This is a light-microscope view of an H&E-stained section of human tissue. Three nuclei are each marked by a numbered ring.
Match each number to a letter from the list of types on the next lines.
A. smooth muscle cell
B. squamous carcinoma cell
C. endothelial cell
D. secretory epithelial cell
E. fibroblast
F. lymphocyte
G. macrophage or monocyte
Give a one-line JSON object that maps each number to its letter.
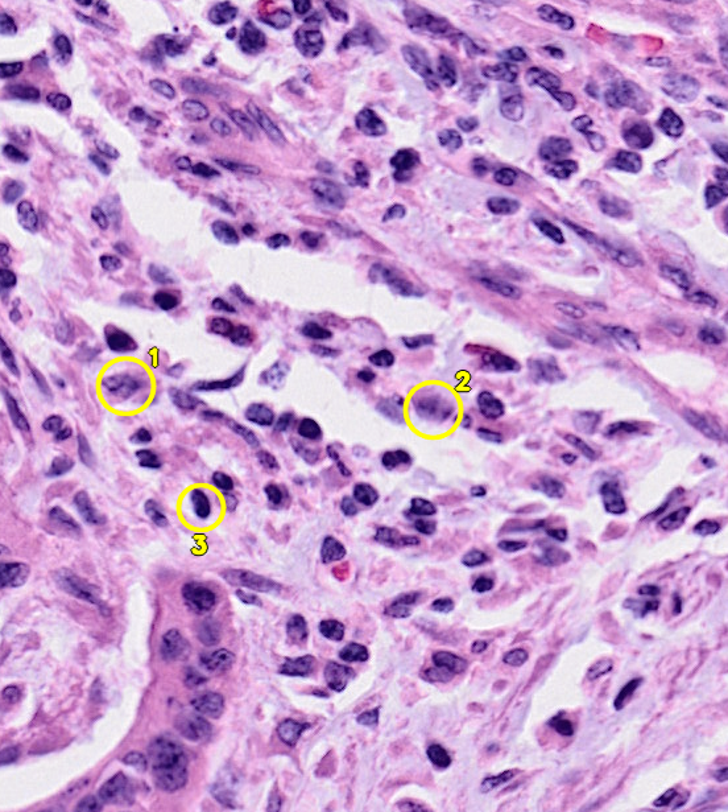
{"1": "G", "2": "G", "3": "F"}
